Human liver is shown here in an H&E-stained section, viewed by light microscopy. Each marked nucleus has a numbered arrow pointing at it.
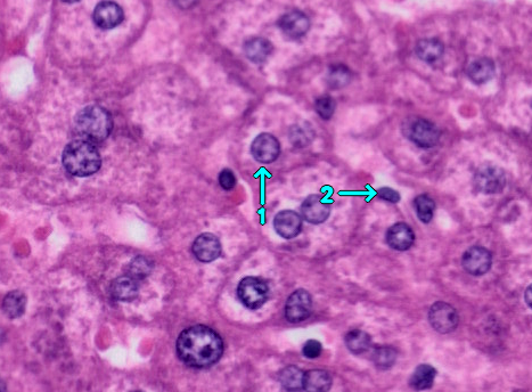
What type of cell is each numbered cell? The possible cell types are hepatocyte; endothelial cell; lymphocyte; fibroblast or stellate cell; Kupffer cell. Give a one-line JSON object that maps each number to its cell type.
{"1": "hepatocyte", "2": "lymphocyte"}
